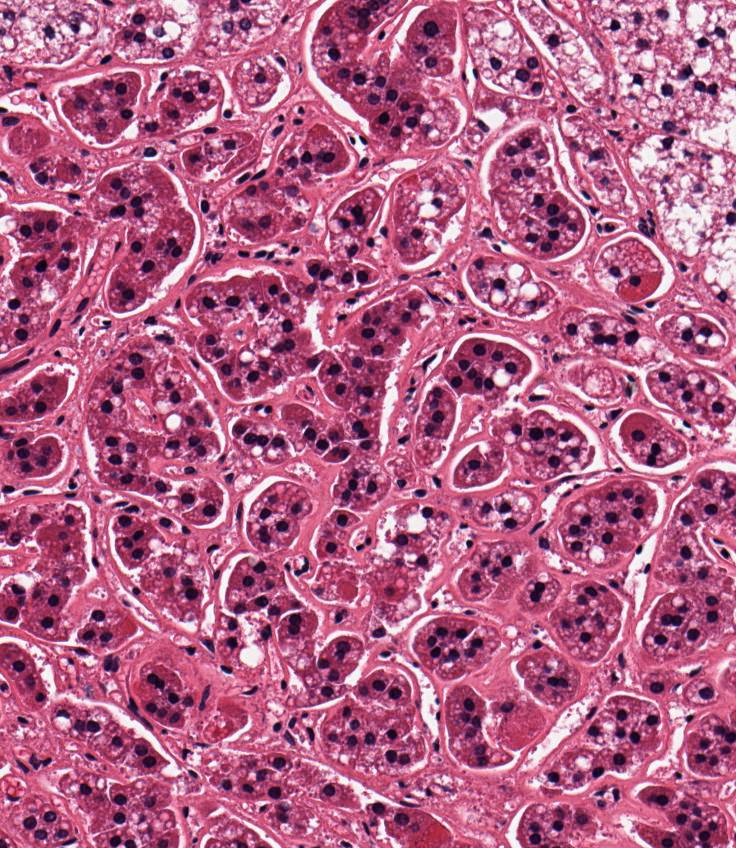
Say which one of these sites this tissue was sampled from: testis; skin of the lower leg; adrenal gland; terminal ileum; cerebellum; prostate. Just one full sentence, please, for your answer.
Tissue for this section was sampled from the adrenal gland.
